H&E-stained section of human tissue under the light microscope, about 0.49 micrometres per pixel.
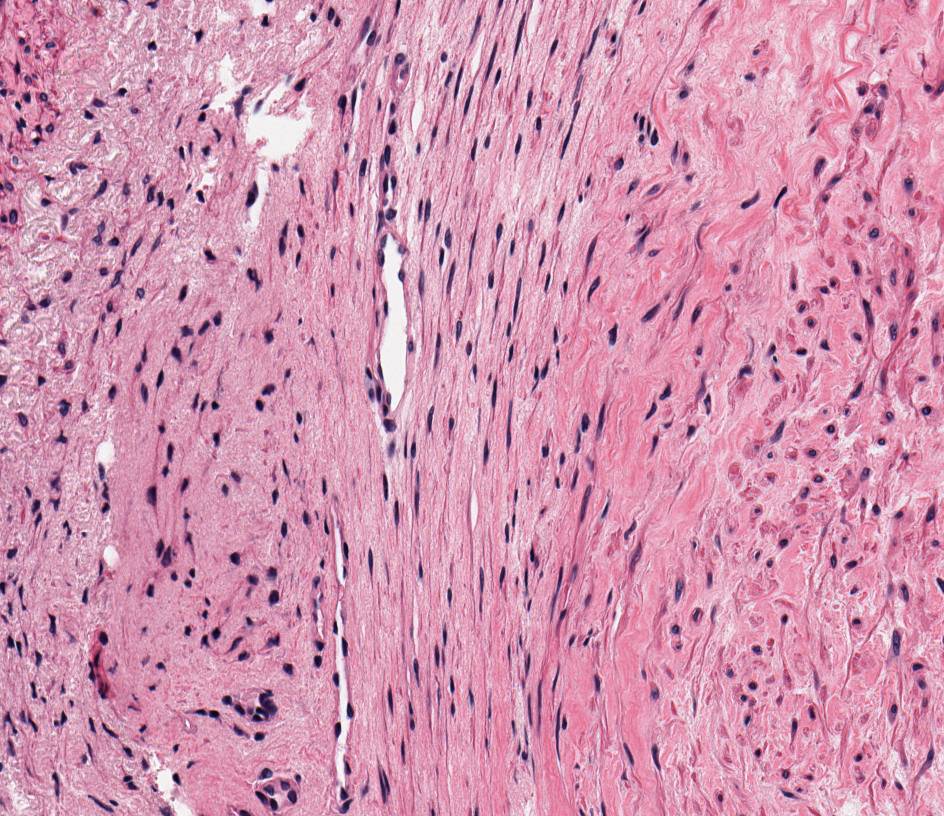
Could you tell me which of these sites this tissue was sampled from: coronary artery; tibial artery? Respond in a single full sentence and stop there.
Tissue for this section was sampled from the coronary artery.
